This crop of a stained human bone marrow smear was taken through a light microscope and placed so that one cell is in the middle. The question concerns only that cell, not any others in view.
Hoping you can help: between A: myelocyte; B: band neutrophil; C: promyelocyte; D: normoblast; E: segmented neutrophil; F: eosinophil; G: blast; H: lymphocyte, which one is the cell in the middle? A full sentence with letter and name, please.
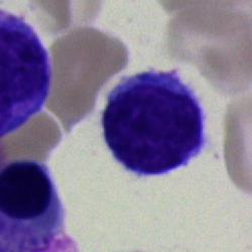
Option H correctly states that the central cell is a lymphocyte.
